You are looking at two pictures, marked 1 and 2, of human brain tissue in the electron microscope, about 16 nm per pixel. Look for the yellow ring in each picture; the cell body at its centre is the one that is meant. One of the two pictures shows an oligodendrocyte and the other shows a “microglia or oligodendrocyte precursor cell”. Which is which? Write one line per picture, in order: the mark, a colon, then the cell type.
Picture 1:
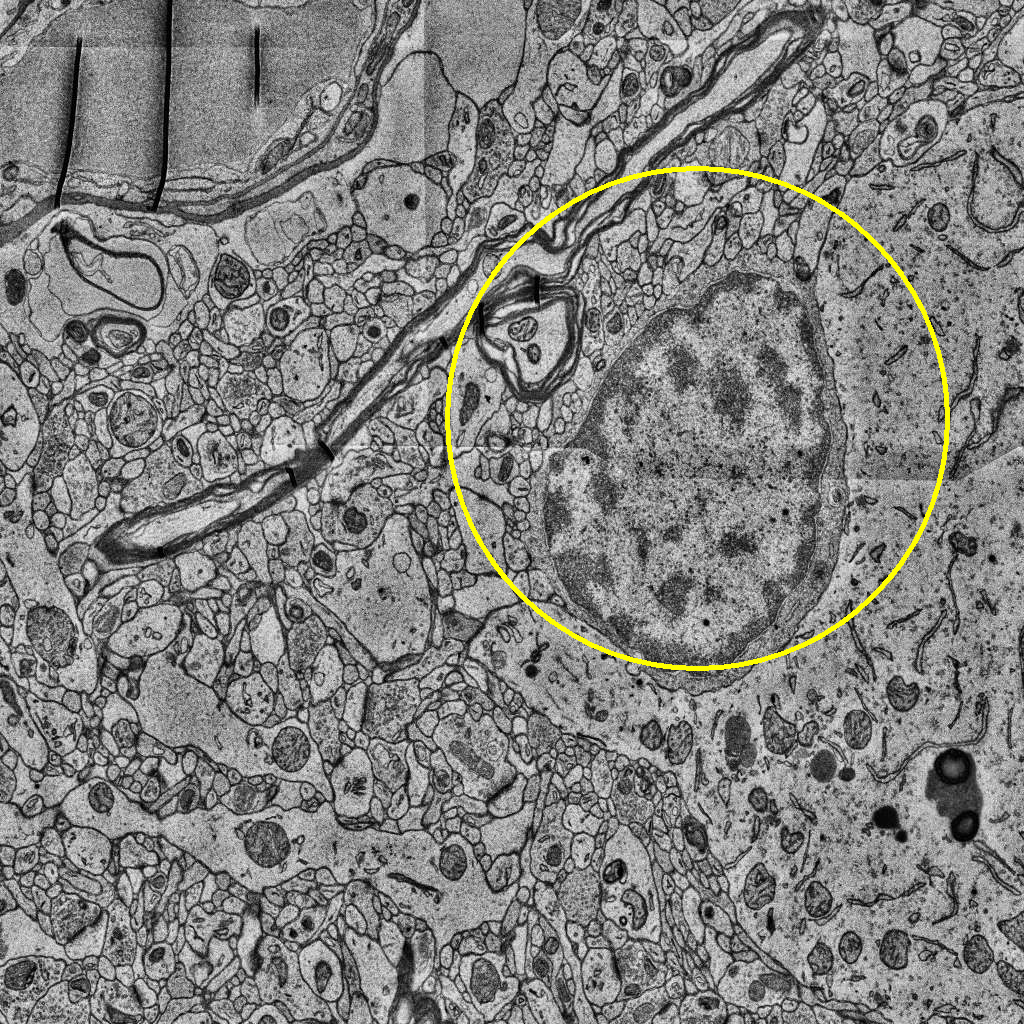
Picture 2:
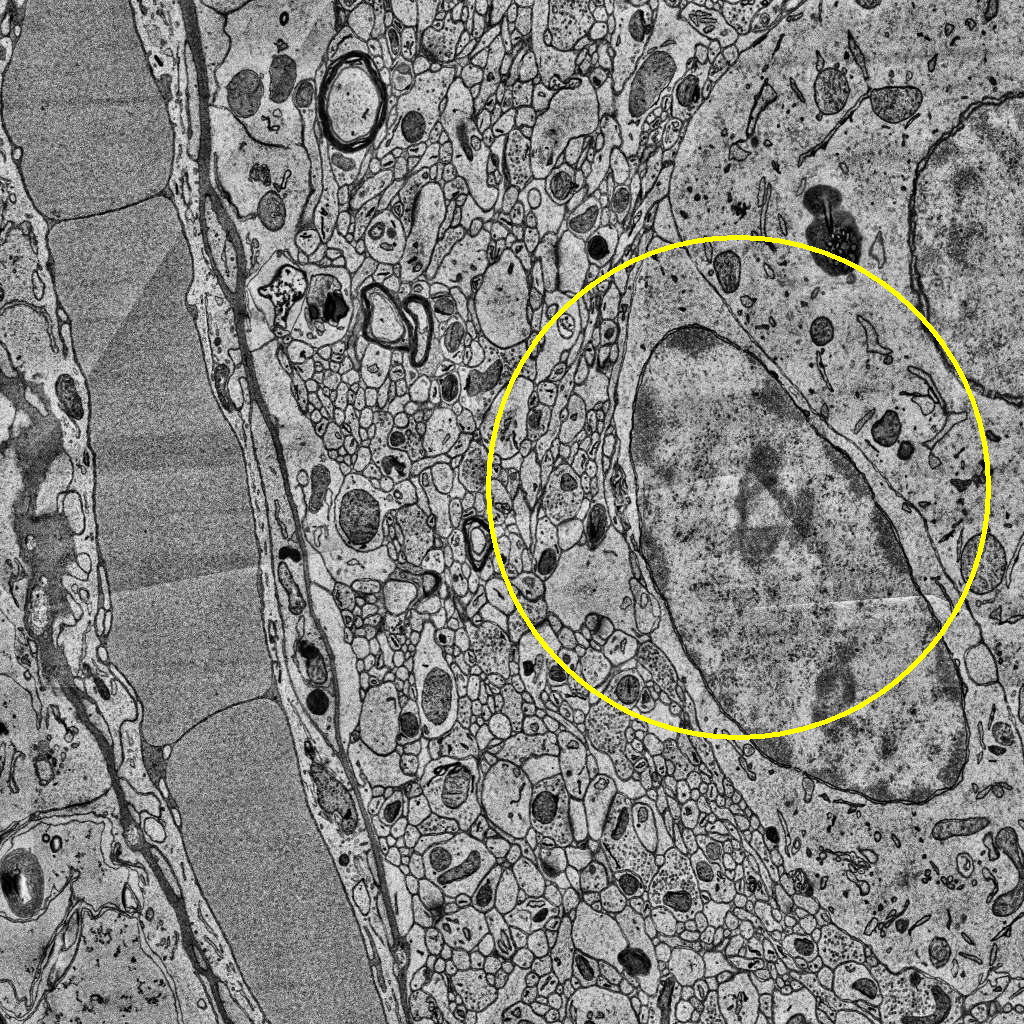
1: oligodendrocyte
2: microglia or oligodendrocyte precursor cell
